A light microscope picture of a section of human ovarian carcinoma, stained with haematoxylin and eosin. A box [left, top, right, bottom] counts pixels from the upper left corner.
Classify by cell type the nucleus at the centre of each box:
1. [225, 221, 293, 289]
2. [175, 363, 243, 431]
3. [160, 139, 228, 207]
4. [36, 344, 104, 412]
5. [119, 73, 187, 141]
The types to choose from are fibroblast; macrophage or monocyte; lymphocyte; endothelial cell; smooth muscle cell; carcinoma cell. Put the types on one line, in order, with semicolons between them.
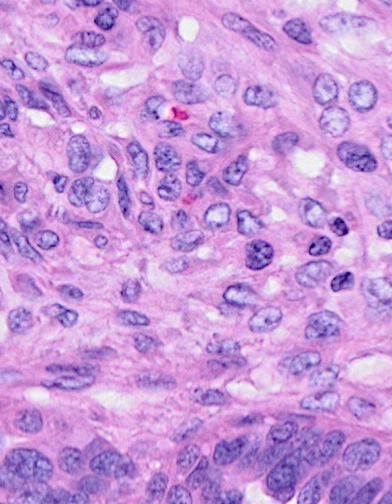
macrophage or monocyte; fibroblast; endothelial cell; fibroblast; endothelial cell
